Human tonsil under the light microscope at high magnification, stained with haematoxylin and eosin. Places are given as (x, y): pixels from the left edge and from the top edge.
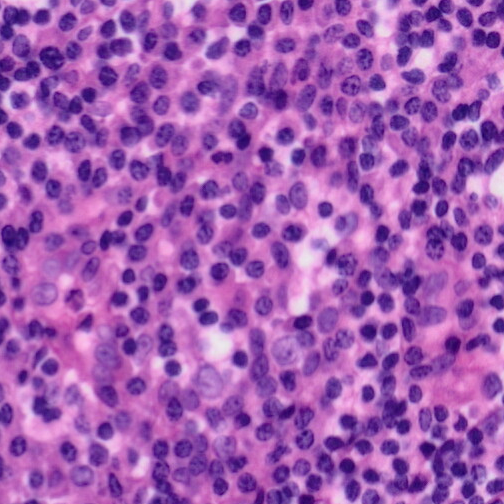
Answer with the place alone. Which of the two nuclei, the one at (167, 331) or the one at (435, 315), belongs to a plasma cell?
(167, 331)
